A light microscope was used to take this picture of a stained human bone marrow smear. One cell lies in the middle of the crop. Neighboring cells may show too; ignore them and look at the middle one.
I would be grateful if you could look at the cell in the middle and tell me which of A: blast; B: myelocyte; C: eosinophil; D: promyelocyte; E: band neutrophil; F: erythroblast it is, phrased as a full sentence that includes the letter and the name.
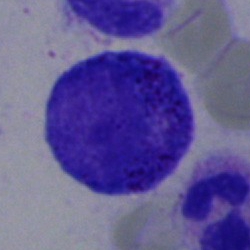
The cell in the middle is a promyelocyte, and so option D is correct.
